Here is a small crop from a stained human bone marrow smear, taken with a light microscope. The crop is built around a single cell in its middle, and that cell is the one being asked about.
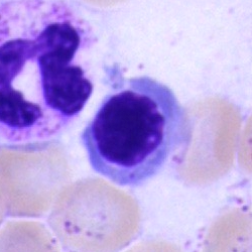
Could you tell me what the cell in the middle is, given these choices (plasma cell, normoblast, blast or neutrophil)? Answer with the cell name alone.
normoblast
